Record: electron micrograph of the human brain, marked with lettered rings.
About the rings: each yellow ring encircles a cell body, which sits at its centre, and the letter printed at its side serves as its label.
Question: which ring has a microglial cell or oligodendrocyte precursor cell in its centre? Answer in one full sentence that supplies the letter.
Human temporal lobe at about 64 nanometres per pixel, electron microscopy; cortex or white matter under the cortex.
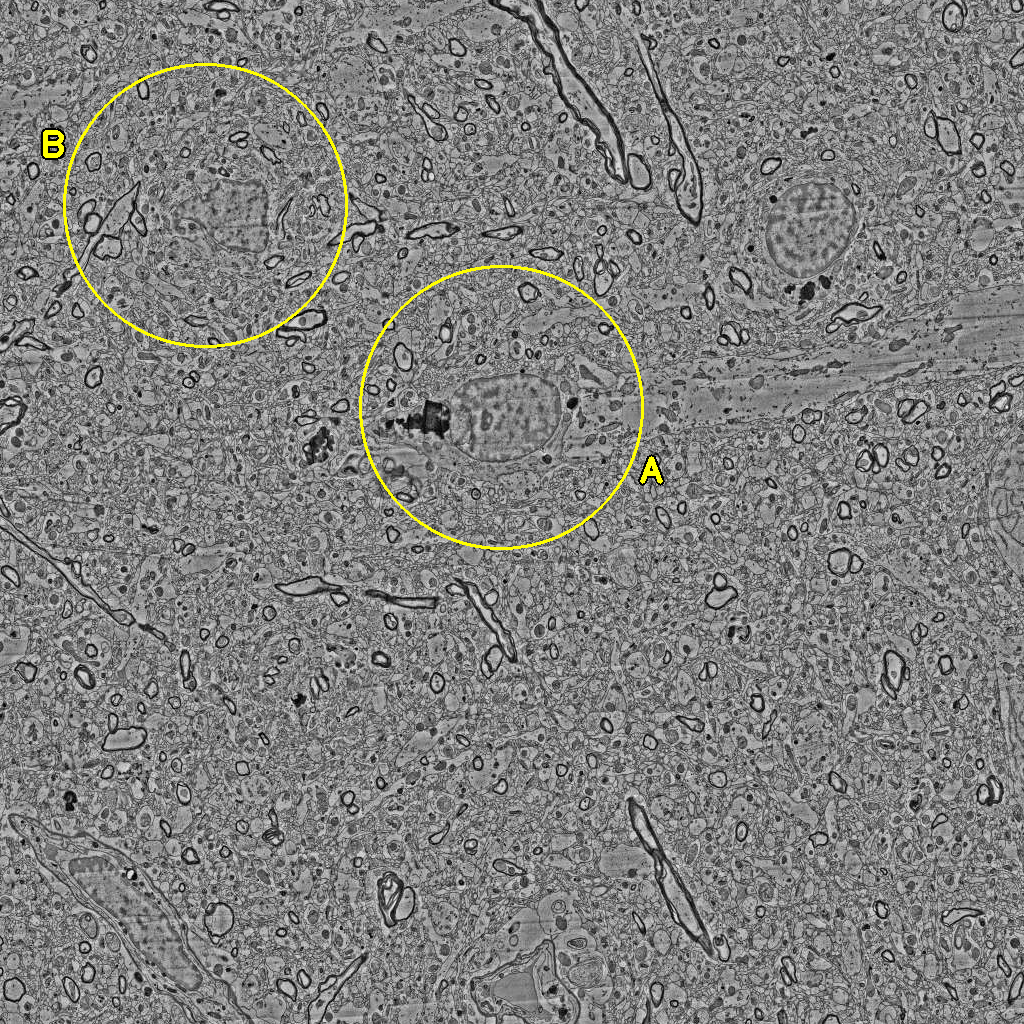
Within the picture, a cell of that kind is centred inside the ring marked B.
